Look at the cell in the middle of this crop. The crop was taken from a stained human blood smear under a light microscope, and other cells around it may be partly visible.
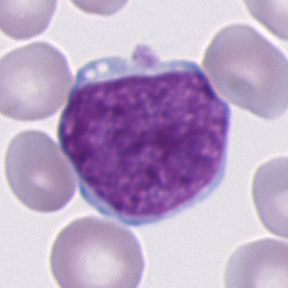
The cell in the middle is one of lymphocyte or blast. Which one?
blast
